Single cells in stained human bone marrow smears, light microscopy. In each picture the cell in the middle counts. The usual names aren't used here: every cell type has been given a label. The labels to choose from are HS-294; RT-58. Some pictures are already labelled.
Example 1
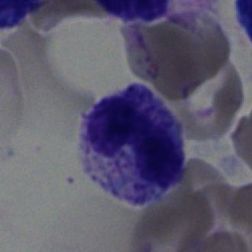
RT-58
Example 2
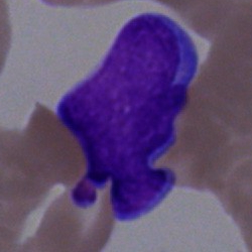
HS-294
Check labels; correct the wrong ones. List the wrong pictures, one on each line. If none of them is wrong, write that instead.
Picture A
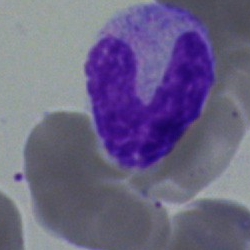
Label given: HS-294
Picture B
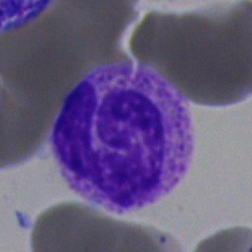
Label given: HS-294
A is labelled HS-294; correct label: RT-58
B is labelled HS-294; correct label: RT-58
